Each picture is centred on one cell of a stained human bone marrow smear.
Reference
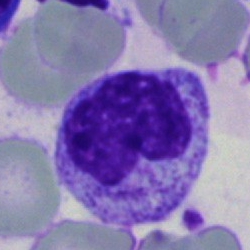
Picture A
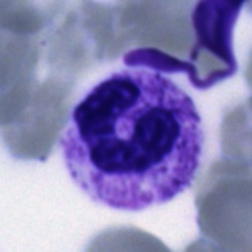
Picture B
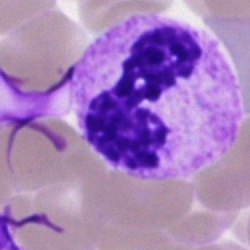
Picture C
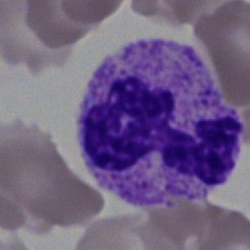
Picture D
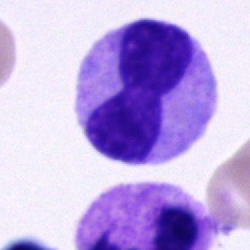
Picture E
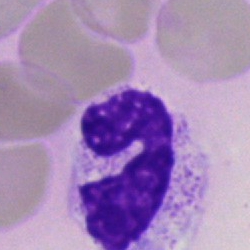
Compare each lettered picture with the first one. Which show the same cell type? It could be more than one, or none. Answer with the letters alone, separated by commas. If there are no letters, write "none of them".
D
